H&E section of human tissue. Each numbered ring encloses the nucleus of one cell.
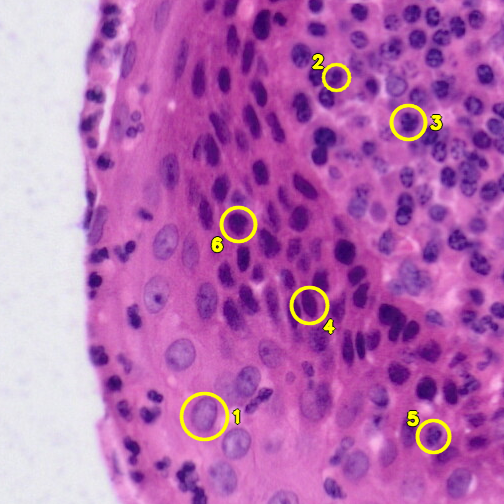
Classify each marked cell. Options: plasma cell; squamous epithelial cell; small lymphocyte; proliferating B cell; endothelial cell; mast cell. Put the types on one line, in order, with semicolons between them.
squamous epithelial cell; plasma cell; plasma cell; squamous epithelial cell; squamous epithelial cell; squamous epithelial cell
